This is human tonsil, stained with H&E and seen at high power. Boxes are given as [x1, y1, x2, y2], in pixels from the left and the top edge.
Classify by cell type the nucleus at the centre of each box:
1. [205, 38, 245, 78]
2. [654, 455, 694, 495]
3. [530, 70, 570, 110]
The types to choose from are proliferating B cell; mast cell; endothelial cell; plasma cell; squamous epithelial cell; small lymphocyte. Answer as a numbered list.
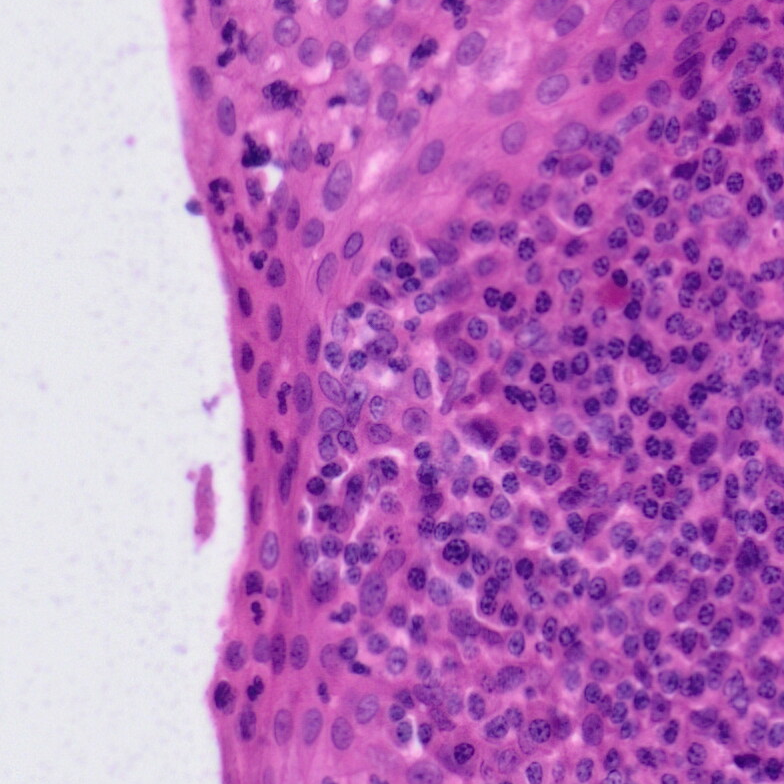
1. squamous epithelial cell
2. plasma cell
3. squamous epithelial cell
